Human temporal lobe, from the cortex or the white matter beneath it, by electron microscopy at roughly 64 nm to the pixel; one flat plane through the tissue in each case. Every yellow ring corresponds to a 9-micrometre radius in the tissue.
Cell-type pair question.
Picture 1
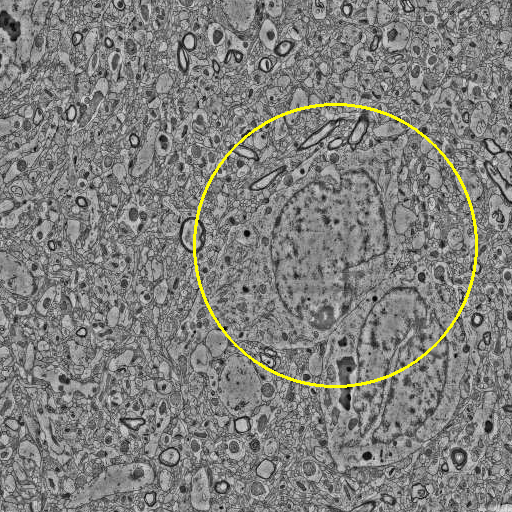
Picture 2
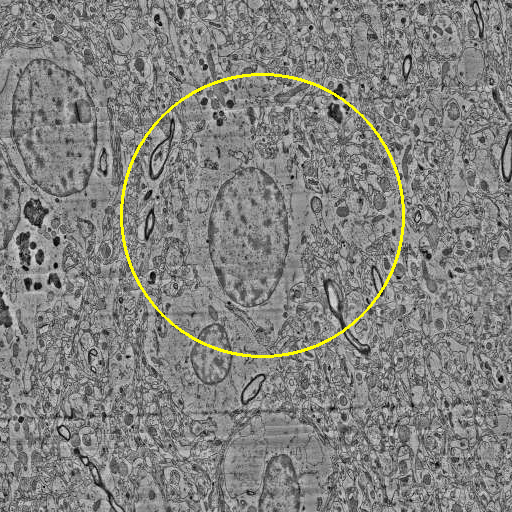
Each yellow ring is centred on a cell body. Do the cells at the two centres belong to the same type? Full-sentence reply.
No, the two cells belong to two types.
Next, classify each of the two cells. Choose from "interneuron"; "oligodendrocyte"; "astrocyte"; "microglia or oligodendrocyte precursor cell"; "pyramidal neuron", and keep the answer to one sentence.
In the first picture it is an interneuron; in the second it is an astrocyte.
